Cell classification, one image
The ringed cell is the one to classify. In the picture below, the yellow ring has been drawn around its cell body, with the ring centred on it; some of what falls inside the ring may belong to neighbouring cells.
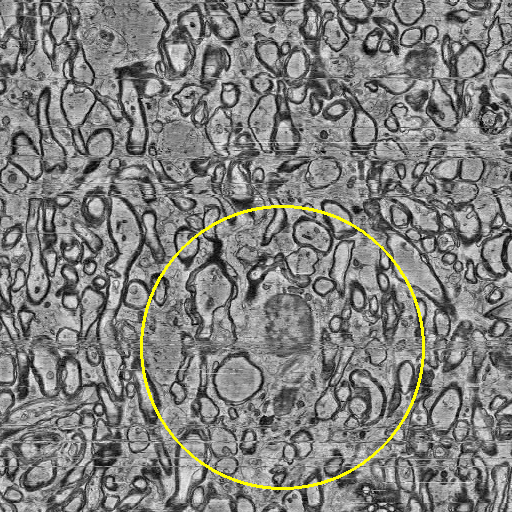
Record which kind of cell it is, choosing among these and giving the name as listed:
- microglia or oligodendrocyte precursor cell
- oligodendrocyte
microglia or oligodendrocyte precursor cell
